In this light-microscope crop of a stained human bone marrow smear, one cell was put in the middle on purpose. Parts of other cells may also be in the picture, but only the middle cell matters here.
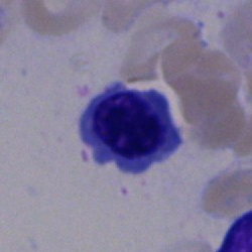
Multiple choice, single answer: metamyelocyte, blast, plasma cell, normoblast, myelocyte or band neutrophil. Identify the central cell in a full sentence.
The cell marked by its central position in the crop is a normoblast.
